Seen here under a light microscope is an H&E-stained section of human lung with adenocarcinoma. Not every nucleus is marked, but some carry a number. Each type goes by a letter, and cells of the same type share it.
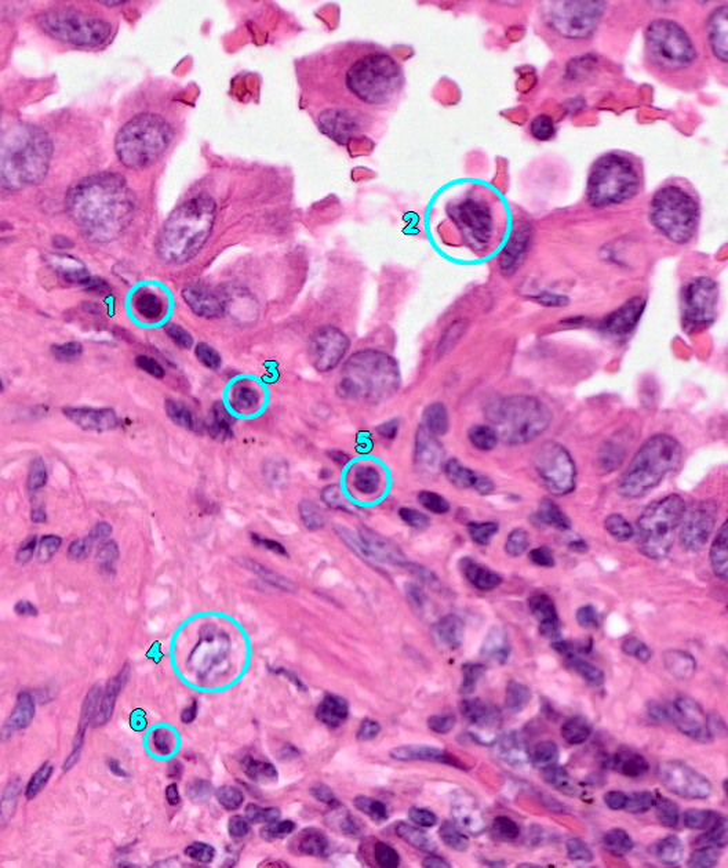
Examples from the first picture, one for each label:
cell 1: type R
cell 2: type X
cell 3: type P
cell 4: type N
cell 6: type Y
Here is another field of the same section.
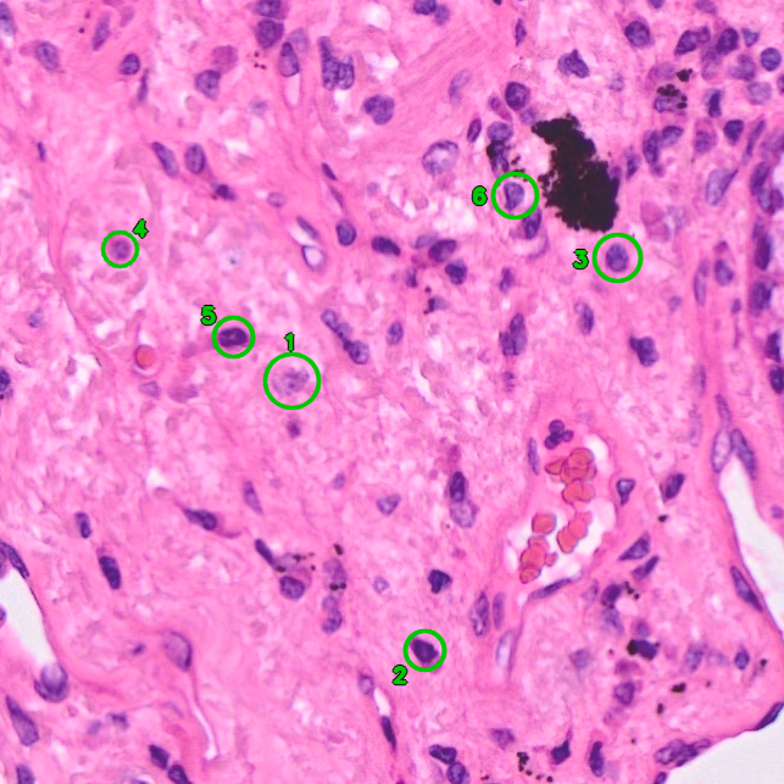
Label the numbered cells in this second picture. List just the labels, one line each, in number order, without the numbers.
type N
type R
type Y
type Y
type R
type P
